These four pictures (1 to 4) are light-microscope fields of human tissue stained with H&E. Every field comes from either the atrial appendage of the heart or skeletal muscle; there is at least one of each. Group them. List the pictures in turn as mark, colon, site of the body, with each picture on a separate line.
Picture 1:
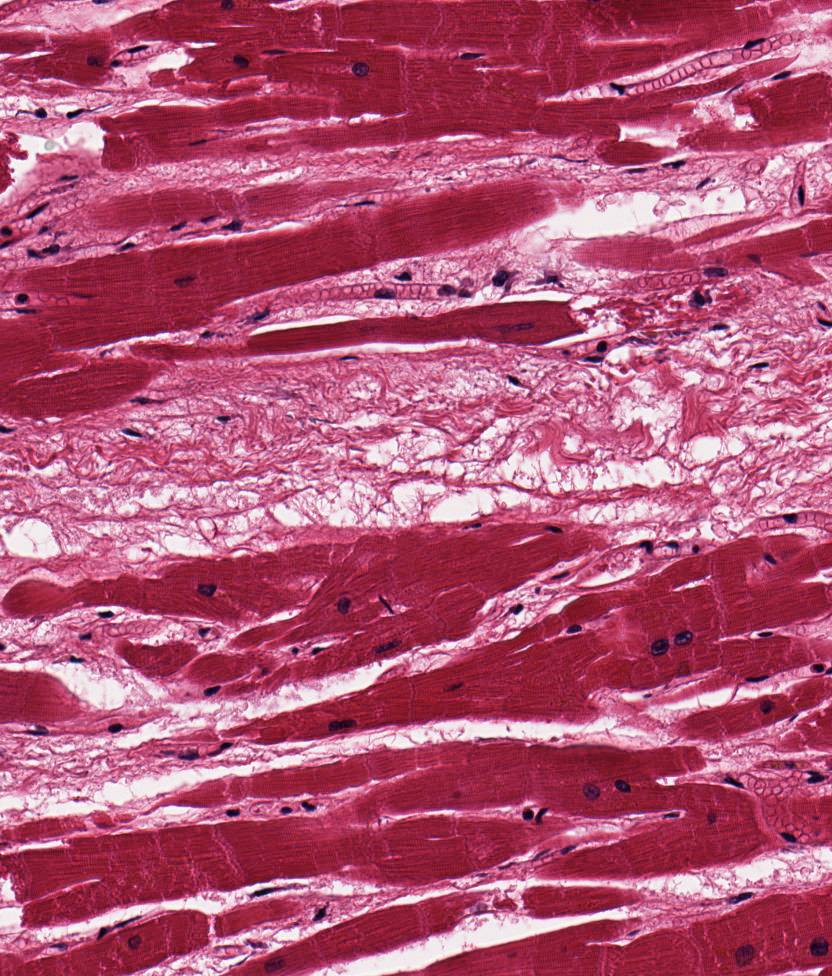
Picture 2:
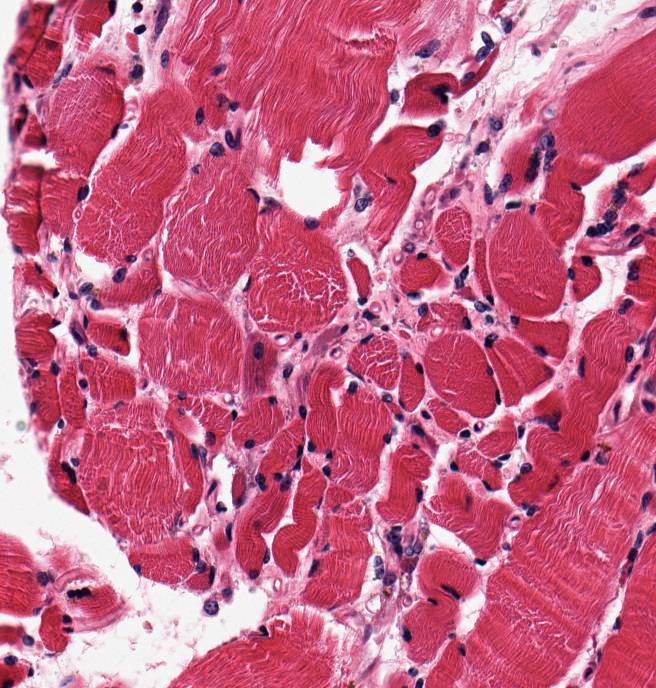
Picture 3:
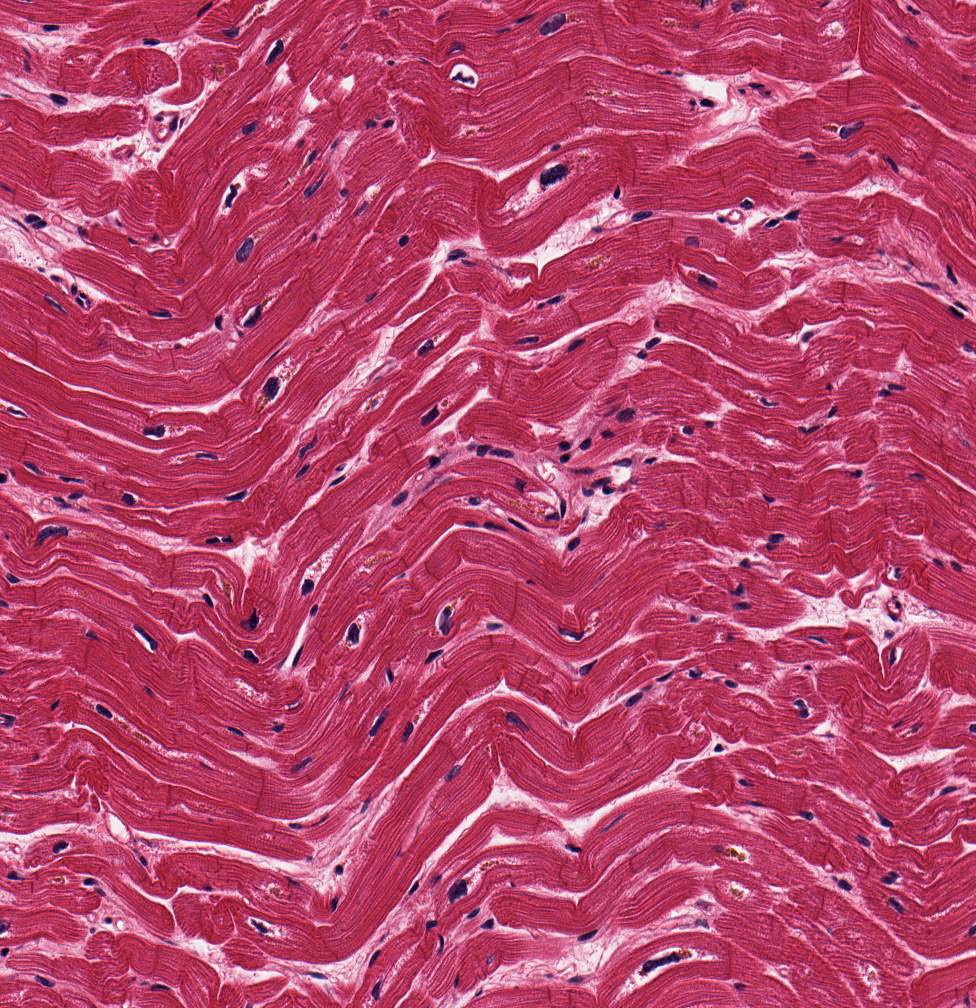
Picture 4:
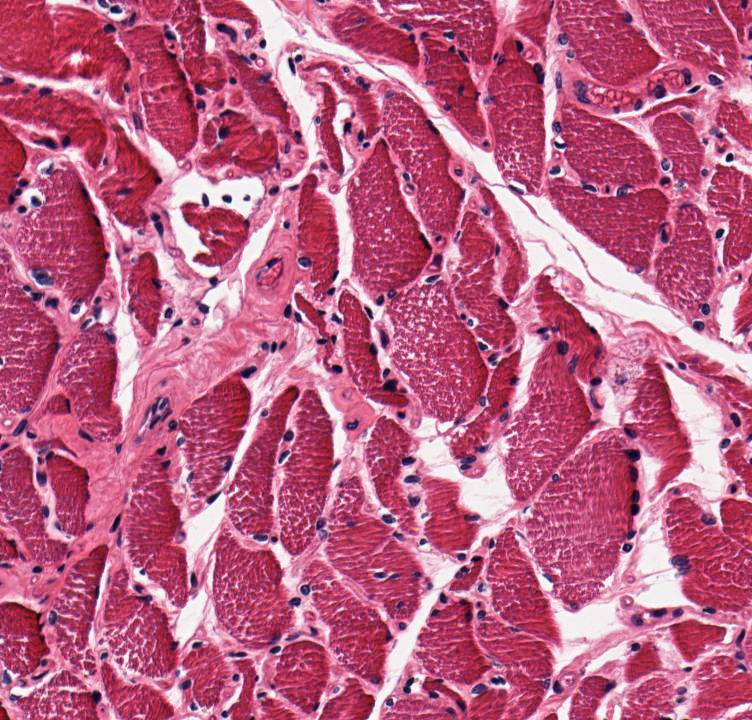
1: atrial appendage of the heart
2: skeletal muscle
3: atrial appendage of the heart
4: skeletal muscle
